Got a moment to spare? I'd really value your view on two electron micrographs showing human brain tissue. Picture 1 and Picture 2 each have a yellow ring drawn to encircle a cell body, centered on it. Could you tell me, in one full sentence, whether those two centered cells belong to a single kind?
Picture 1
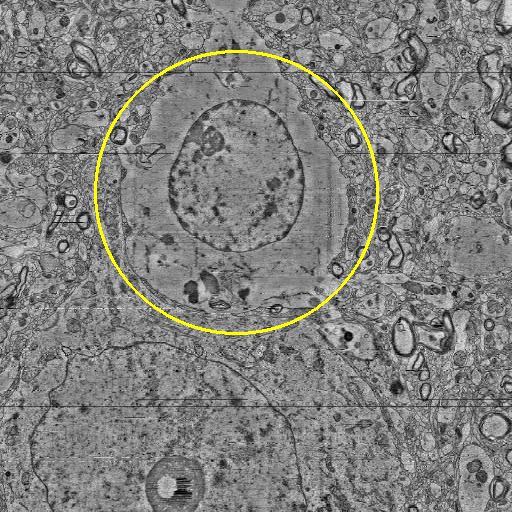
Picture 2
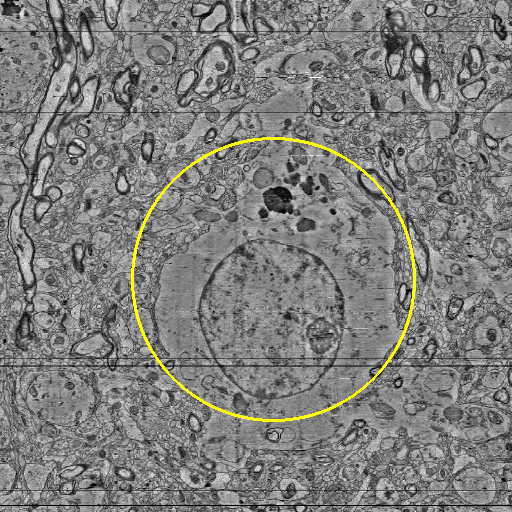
Yes, the two centered cells in Picture 1 and Picture 2 are of a single kind.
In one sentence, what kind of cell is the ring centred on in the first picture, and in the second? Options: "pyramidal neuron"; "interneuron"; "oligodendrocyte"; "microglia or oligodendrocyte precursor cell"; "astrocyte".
In each of the two pictures, the ringed cell is an astrocyte.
